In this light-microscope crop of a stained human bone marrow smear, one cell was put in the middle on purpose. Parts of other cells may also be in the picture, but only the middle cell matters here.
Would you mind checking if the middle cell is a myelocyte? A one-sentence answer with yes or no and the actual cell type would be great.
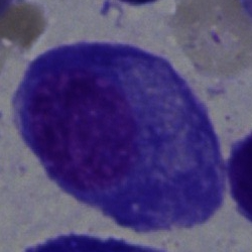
No, instead of a myelocyte, the centred cell represents a plasma cell.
